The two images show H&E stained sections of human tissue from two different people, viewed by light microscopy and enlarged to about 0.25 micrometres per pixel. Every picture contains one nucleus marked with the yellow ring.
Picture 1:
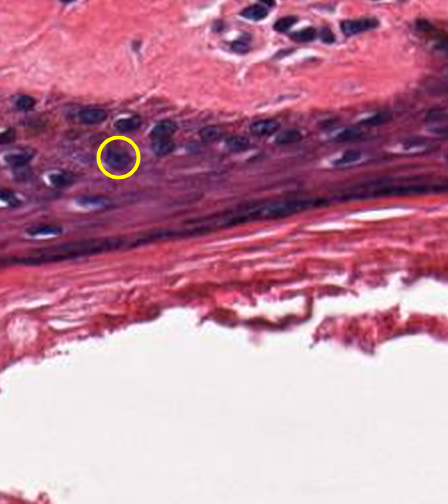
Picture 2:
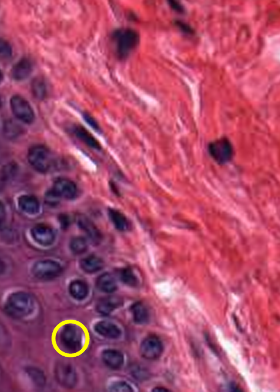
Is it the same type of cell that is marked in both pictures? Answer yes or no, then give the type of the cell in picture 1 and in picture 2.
Yes, both are keratinocytes.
